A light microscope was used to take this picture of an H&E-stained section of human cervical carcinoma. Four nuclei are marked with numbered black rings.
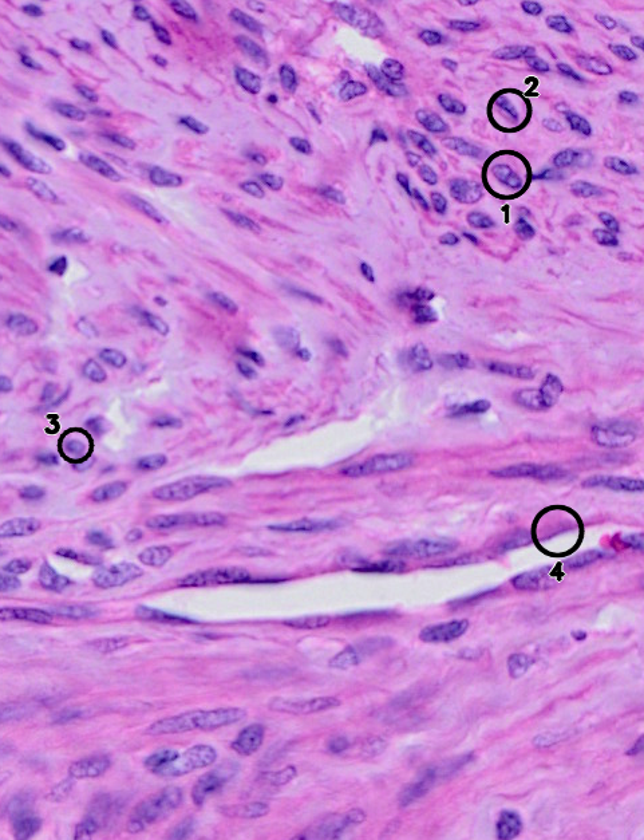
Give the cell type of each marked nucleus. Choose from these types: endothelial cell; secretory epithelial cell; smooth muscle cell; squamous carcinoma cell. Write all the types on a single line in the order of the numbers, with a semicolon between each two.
smooth muscle cell; smooth muscle cell; smooth muscle cell; endothelial cell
